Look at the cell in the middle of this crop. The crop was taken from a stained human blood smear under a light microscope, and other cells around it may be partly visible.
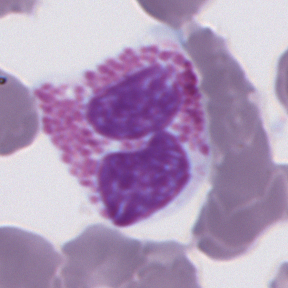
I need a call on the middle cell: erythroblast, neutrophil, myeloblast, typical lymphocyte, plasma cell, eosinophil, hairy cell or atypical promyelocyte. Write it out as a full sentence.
In the crop, the cell of interest at the centre is an eosinophil.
